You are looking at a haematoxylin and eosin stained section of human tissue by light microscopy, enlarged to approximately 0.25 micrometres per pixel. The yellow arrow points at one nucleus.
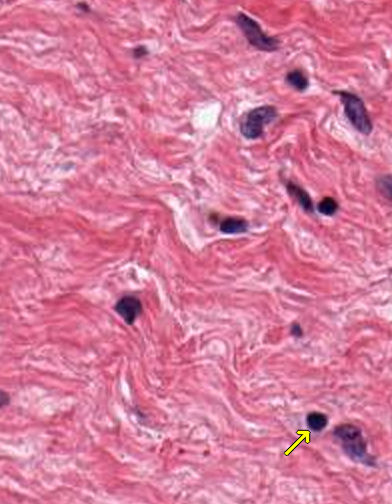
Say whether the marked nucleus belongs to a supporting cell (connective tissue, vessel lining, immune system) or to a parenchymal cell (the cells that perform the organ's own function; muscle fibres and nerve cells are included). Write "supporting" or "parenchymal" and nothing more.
supporting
